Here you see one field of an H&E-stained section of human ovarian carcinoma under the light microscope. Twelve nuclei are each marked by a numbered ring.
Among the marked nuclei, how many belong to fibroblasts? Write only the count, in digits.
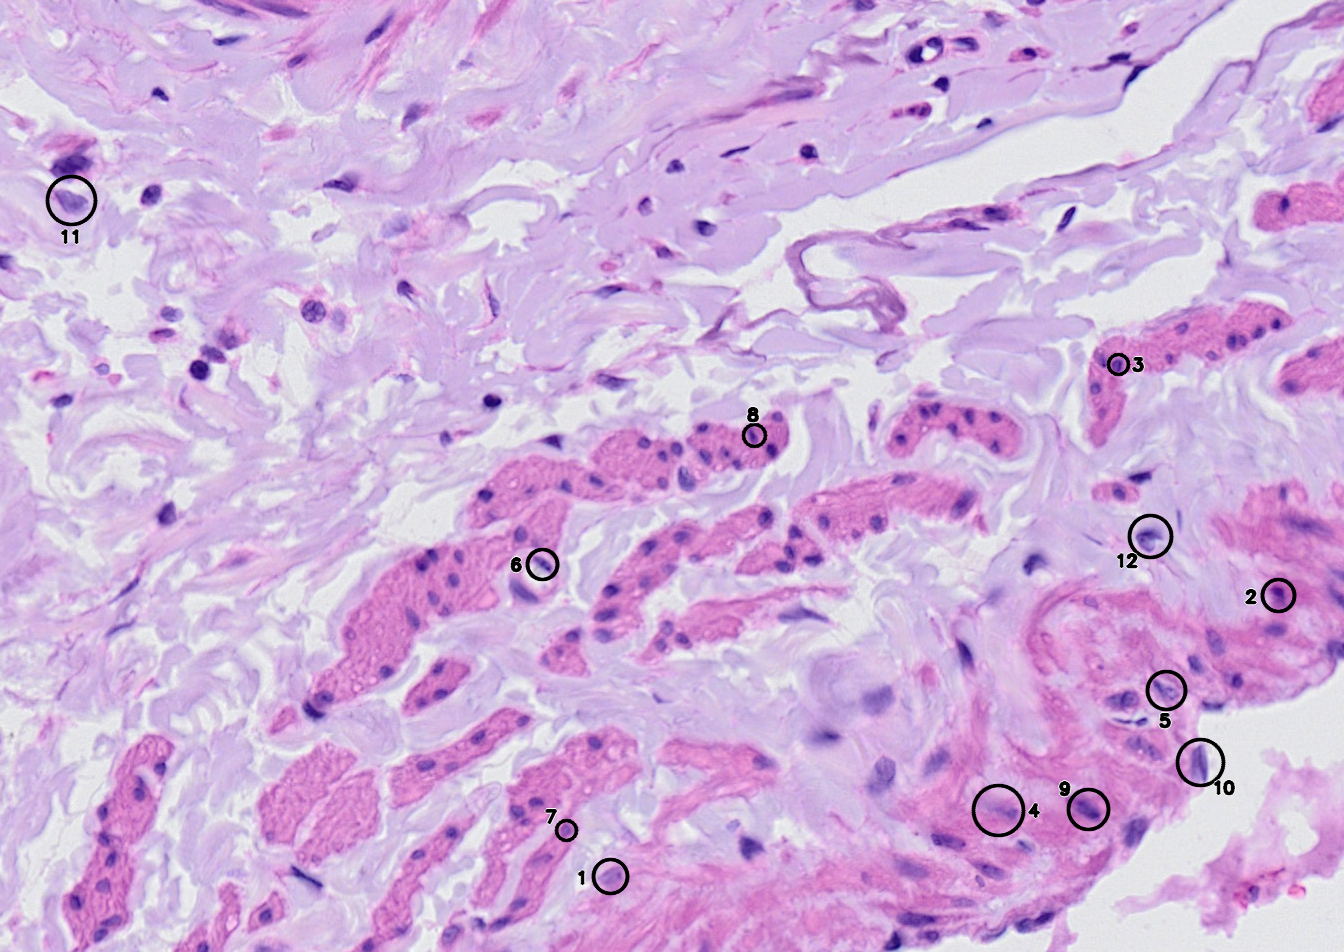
2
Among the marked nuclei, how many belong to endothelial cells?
3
